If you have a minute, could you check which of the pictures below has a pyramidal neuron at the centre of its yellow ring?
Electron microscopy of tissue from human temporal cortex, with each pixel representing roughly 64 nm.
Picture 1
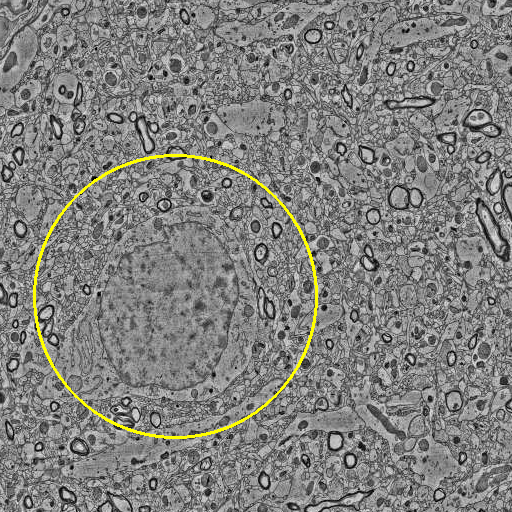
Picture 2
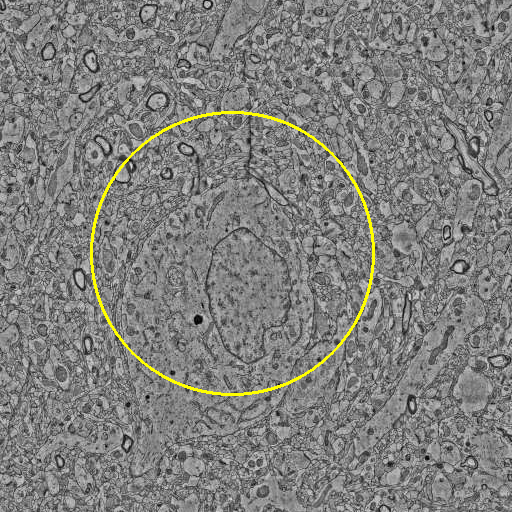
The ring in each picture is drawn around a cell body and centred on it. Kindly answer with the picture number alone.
2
